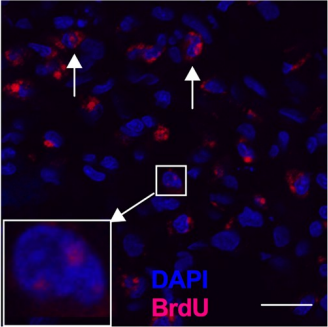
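Densely packed oval and round nuclei are stained blue in a dark field. Many nuclei carry red label. In some the red is spread broadly over the nucleus, while in others, as in the enlarged nucleus, it forms a few small discrete dots.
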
